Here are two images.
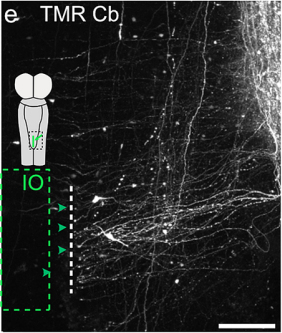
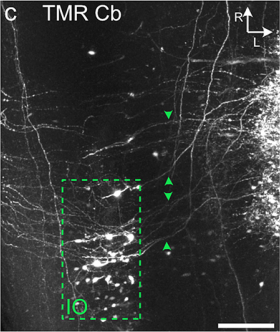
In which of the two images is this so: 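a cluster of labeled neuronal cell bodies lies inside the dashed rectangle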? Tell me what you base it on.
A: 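The second image. First image: the green dashed rectangle contains almost no labeled cell bodies. Second image: the green dashed rectangle contains many bright, rounded labeled cell bodies.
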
